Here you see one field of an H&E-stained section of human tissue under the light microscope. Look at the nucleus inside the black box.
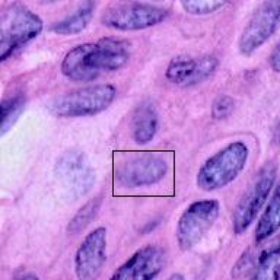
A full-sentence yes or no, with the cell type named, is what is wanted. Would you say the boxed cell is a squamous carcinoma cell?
Yes, the claim that the boxed cell is a squamous carcinoma cell holds true.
